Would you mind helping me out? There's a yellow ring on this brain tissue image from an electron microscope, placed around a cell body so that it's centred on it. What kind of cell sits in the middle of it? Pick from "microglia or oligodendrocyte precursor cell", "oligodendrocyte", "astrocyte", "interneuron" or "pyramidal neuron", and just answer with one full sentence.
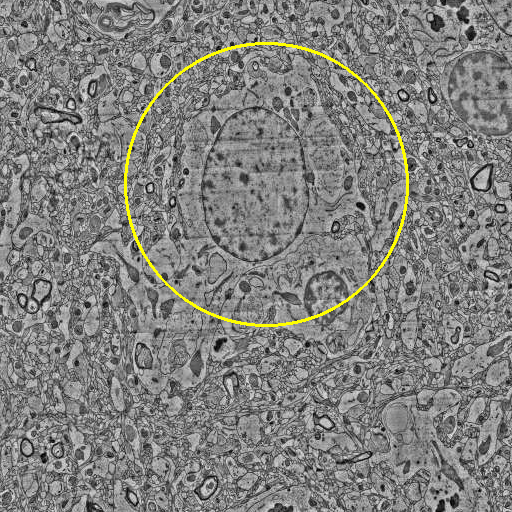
What sits in the middle of that yellow ring is an astrocyte, from your choices.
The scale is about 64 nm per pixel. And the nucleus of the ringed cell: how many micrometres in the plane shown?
The nucleus comes to roughly 10 by 7 micrometres in this plane.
